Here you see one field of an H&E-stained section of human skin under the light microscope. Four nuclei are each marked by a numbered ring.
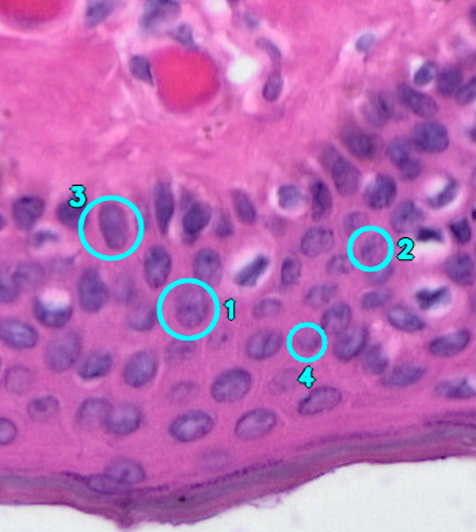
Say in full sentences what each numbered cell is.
Cells 1, 2 and 4 are suprabasal keratinocytes. Cell 3 is a basal keratinocyte.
